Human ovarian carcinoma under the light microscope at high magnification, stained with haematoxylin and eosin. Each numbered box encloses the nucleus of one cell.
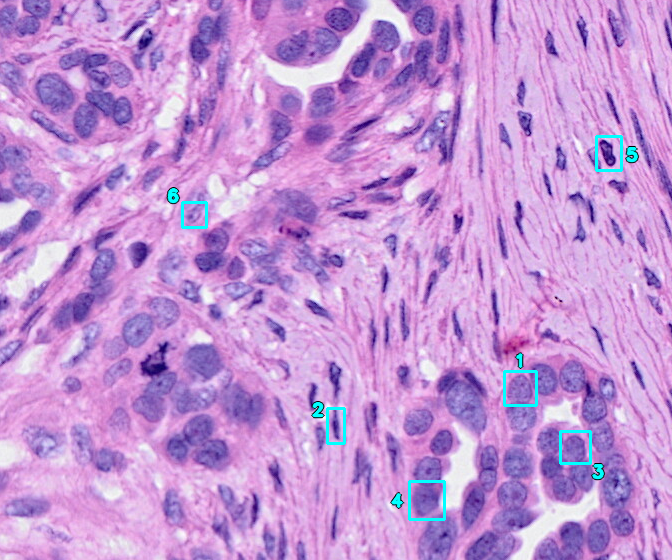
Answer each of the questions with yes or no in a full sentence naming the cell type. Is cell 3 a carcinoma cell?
Yes, in this section the cell numbered 3 is a carcinoma cell.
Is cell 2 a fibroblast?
Yes, looking at number 2, that cell is a fibroblast.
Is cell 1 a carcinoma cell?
Yes, it is a carcinoma cell that number 1 identifies.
